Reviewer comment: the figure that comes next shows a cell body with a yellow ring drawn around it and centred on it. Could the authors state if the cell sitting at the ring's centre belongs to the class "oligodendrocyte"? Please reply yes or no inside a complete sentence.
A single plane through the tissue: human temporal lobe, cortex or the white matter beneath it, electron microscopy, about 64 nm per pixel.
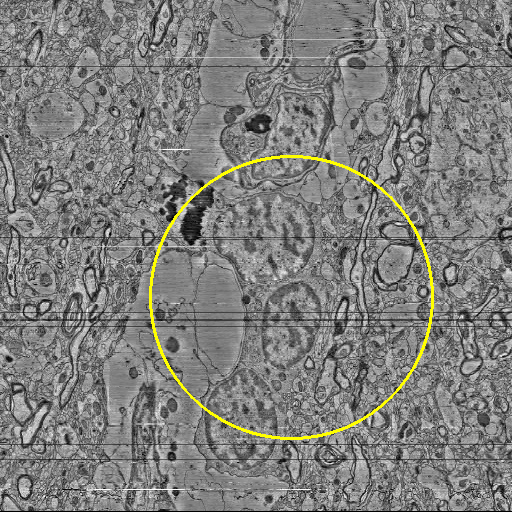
Yes, in the figure, the cell at the ring's centre belongs to that class.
